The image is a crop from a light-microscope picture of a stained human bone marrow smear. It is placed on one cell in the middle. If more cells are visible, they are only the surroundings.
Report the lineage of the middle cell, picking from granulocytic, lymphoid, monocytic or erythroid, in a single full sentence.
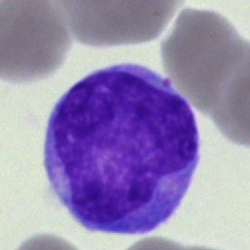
The cell in the crop's center is a cell of the monocytic lineage.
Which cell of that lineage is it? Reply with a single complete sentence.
By classification, the middle cell of this crop is a monocyte.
